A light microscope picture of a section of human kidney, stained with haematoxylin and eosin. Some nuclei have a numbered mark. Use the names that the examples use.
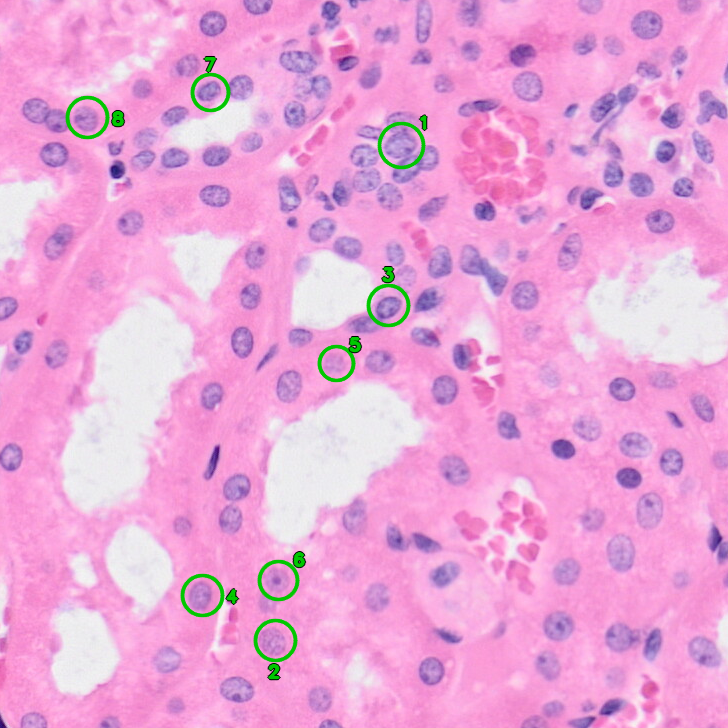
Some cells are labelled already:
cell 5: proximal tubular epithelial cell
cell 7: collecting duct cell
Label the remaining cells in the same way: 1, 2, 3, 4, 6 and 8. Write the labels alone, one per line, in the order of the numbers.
collecting duct cell
proximal tubular epithelial cell
collecting duct cell
proximal tubular epithelial cell
proximal tubular epithelial cell
proximal tubular epithelial cell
